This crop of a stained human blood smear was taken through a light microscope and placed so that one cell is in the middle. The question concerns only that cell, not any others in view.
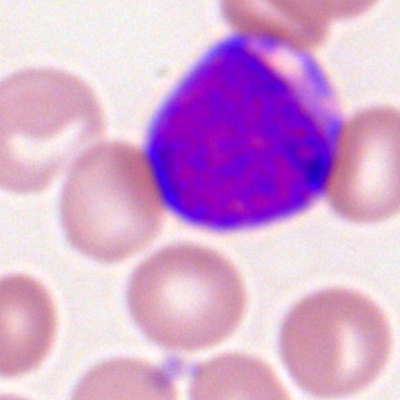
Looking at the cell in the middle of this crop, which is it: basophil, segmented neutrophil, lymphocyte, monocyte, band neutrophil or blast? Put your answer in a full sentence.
Present in the middle of the crop is a blast.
